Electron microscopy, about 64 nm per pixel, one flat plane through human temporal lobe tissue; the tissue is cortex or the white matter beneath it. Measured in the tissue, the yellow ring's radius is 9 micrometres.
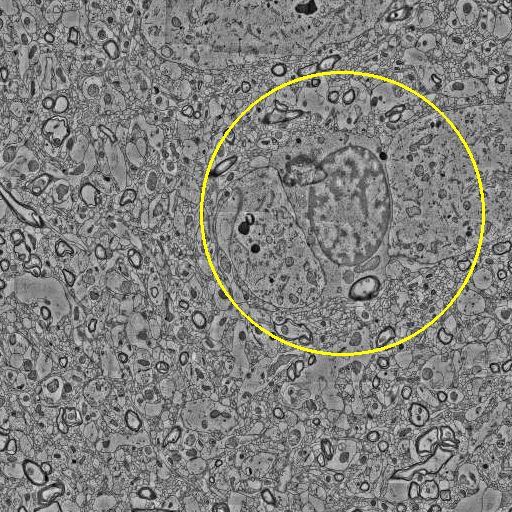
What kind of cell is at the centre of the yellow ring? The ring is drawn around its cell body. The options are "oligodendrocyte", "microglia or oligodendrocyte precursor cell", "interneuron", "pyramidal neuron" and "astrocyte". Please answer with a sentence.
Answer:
The yellow ring marks the cell body of an oligodendrocyte.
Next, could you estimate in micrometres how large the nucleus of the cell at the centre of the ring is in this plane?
The nucleus works out at approximately 8 by 5 micrometres in this plane.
